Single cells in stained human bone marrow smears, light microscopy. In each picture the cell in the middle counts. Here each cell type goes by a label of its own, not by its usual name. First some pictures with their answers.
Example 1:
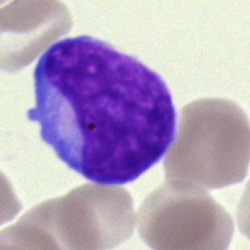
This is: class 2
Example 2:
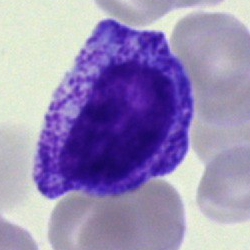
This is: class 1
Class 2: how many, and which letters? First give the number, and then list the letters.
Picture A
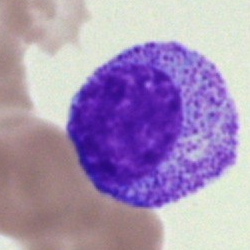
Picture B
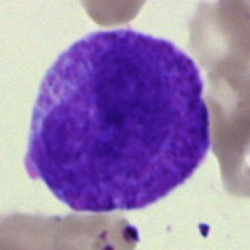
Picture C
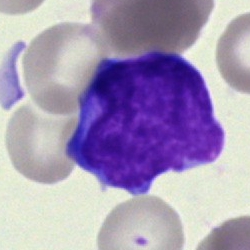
Count: 2 (B, C)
